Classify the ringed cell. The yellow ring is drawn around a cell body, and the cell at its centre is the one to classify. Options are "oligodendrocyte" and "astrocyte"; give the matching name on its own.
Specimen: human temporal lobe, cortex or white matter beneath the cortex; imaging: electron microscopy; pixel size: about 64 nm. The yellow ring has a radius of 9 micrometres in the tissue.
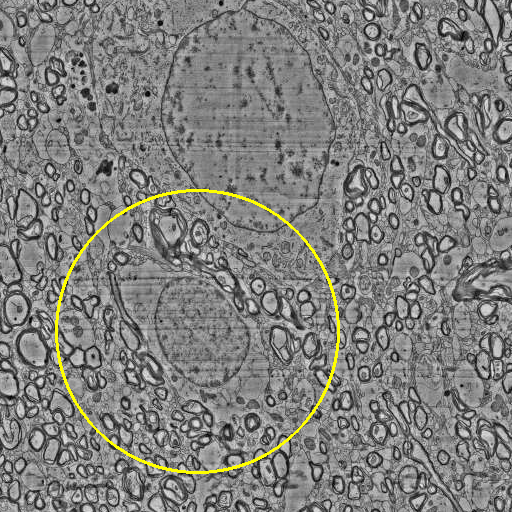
astrocyte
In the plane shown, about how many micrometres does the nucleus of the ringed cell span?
About 7 micrometres by about 6 micrometres in this plane.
